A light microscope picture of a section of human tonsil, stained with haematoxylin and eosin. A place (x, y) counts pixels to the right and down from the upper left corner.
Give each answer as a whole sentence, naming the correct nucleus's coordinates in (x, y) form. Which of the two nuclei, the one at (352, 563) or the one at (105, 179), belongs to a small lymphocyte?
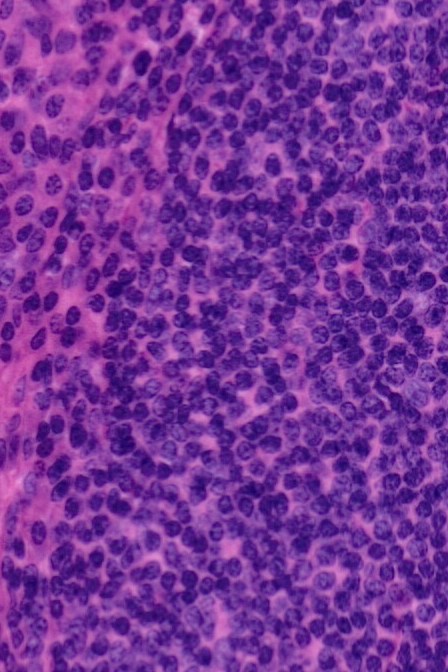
The nucleus that sits at (352, 563) is the nucleus of a small lymphocyte.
